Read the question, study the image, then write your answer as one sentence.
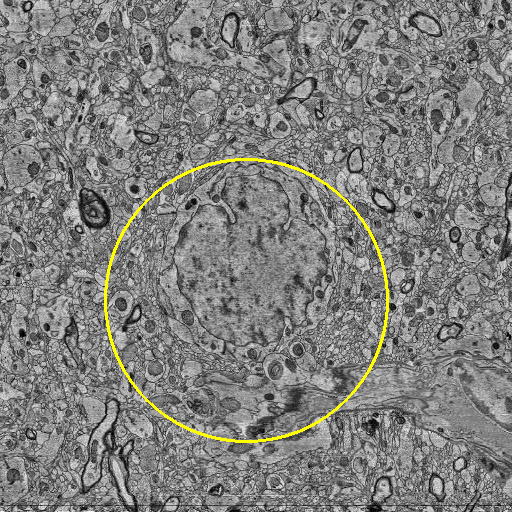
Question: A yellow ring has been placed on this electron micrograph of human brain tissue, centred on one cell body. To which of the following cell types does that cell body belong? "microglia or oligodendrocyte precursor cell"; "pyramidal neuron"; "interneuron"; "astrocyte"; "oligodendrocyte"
That cell body belongs to an interneuron.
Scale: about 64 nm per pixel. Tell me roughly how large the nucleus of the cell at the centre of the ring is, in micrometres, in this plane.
About 11 micrometres across, as seen in this plane.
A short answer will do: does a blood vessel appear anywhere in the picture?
Yes.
